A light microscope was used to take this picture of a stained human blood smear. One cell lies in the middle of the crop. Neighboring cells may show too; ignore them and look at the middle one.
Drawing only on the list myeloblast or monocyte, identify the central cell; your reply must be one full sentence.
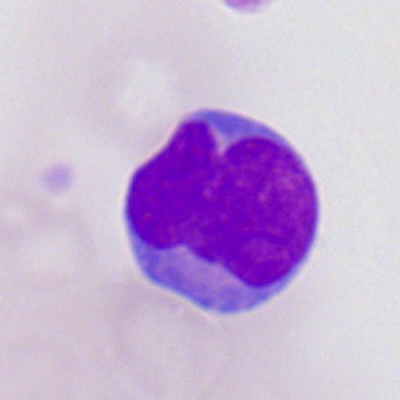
The cell at the central position in this crop is a myeloblast.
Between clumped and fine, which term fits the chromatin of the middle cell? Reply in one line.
The chromatin is fine; coarse clumps are not a feature here.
